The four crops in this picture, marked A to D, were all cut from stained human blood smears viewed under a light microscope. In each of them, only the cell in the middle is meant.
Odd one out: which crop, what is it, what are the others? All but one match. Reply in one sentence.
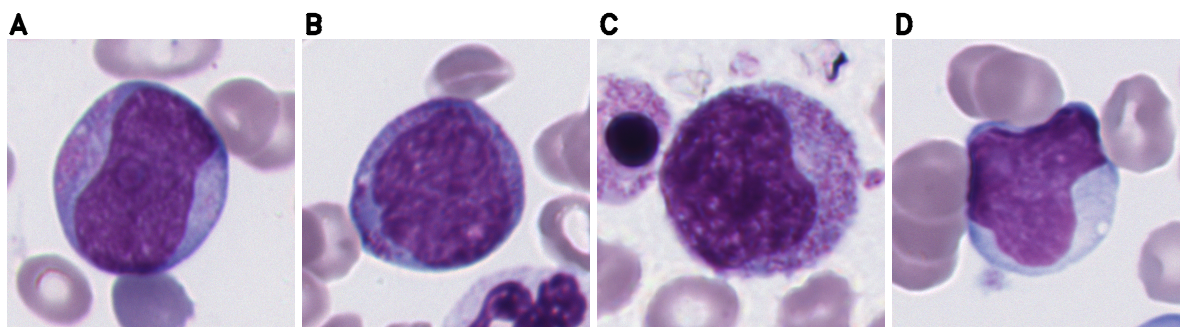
The cells centred in the other crops are all promyelocytes, but crop D is a blast.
